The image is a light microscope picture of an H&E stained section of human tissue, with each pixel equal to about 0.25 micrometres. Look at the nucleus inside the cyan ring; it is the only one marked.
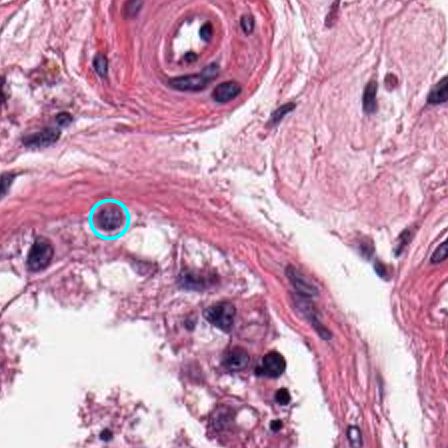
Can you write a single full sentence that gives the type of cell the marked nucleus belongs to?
The marked nucleus is one that belongs to a spermatogonium.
